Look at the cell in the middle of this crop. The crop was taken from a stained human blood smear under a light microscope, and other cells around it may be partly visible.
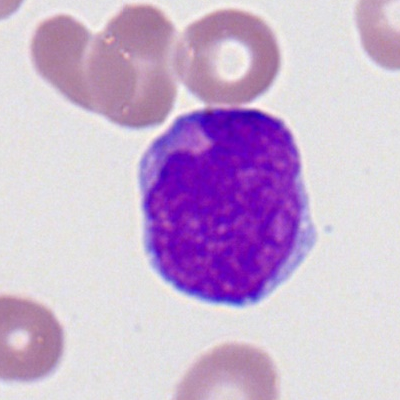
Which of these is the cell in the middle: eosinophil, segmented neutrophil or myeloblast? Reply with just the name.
myeloblast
